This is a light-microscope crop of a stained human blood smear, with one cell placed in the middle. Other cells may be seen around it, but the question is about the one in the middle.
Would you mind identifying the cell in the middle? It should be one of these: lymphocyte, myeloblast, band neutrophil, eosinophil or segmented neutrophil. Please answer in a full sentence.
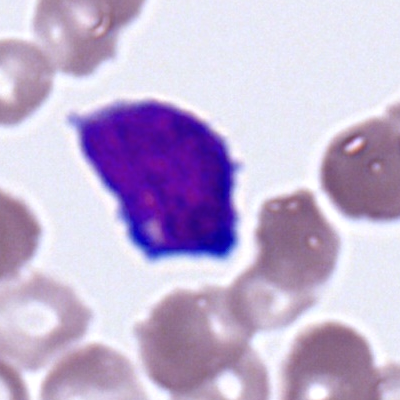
The cell of interest, located centrally, is a myeloblast.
